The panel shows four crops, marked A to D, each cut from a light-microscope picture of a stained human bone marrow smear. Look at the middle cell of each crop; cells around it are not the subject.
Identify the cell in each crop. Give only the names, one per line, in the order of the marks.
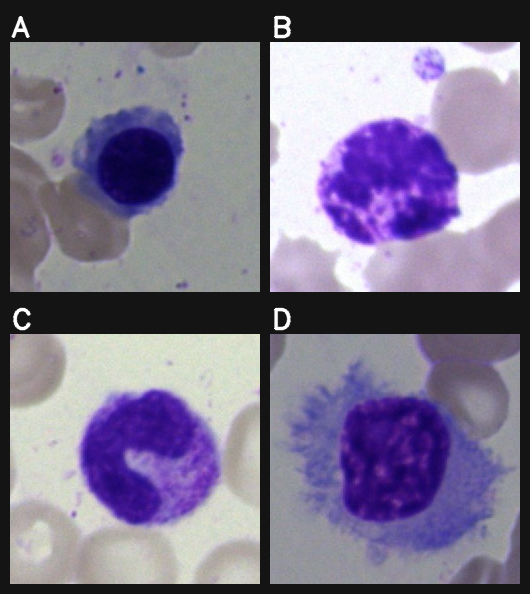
normoblast
basophil
band neutrophil
hairy cell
